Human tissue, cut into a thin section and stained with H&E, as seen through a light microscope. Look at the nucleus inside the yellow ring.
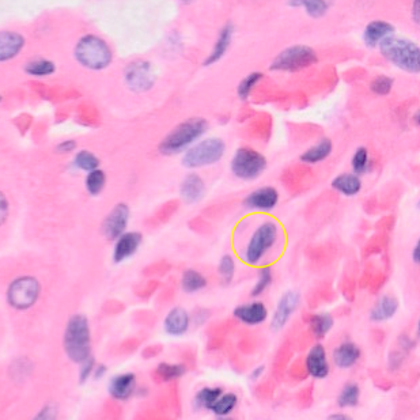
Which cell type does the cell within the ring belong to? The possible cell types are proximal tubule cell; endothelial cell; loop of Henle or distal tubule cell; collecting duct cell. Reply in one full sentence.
Assigned to a cell type, the cell within the ring is an endothelial cell.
